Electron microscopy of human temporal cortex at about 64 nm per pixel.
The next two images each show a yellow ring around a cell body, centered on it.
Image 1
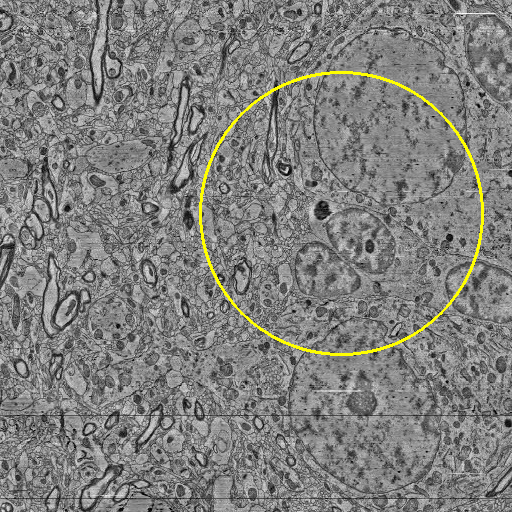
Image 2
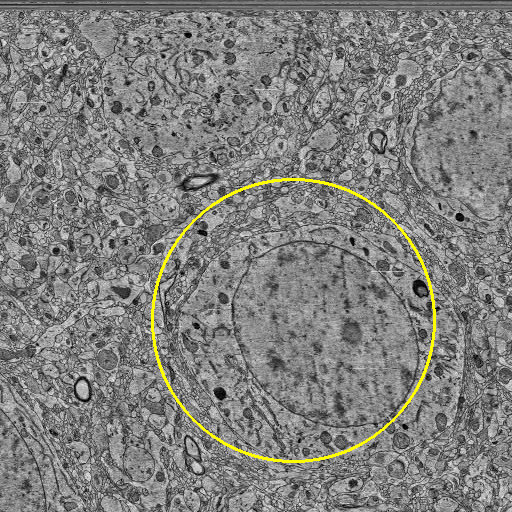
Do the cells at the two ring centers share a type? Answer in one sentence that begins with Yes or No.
No, across the two images the cells at the ring centers are of two types.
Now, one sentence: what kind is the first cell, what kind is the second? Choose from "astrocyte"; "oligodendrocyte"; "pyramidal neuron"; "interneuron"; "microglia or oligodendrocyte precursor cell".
The first picture has an oligodendrocyte at its ring centre, and the second has a pyramidal neuron.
